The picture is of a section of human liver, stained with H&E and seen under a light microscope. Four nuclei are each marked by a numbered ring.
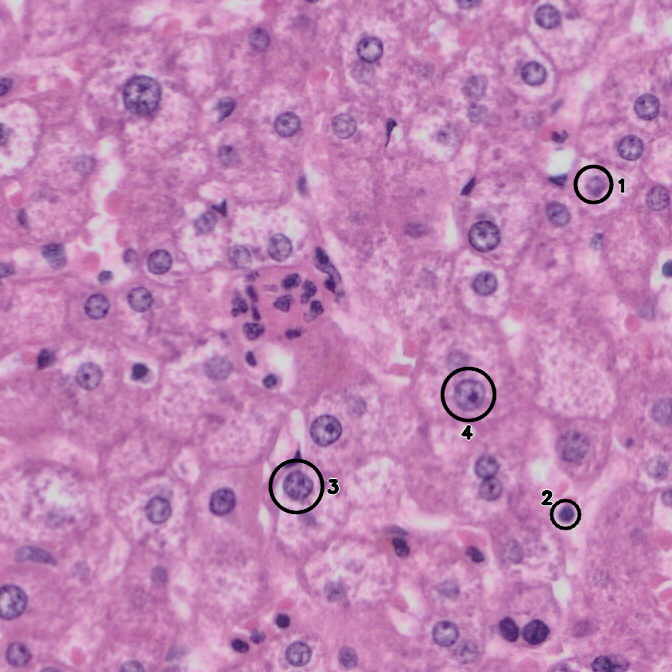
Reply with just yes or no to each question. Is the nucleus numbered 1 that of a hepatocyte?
yes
